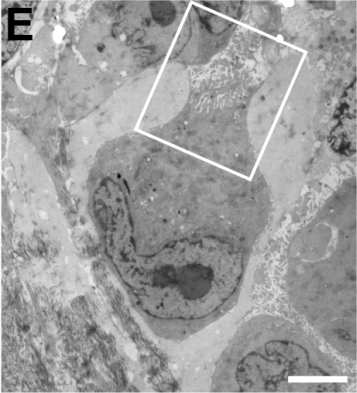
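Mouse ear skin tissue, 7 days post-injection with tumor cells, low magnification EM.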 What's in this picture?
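A large cell sits in the centre with an irregular, deeply indented nucleus and a dark nucleolus, its cytoplasm tapering toward one side where the surface breaks into a mass of thin, folded membrane projections. Pale, smooth rounded areas flank the cell, and other cells with nuclei lie at the edges.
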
